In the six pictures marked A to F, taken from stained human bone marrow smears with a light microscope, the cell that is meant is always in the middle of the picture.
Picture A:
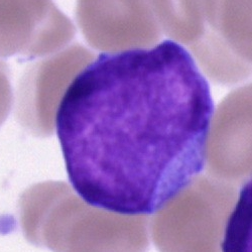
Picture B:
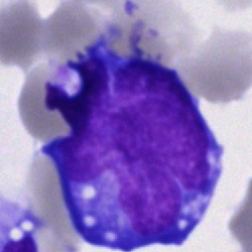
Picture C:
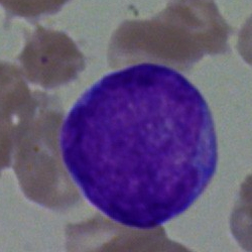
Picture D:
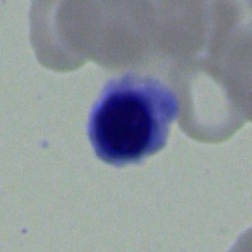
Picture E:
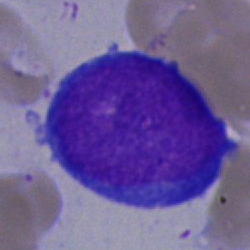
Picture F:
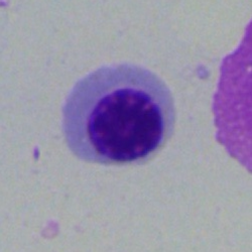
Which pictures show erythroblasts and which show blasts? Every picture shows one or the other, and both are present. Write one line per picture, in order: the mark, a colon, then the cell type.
A: blast
B: blast
C: blast
D: erythroblast
E: blast
F: erythroblast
